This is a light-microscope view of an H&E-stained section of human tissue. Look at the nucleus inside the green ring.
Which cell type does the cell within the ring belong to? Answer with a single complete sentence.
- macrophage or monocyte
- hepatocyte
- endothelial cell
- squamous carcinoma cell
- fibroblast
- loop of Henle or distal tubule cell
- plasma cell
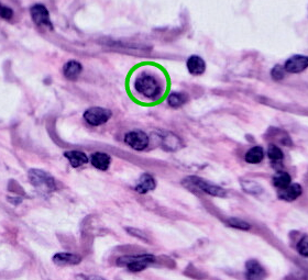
For cell typing purposes, the cell within the ring is a plasma cell.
